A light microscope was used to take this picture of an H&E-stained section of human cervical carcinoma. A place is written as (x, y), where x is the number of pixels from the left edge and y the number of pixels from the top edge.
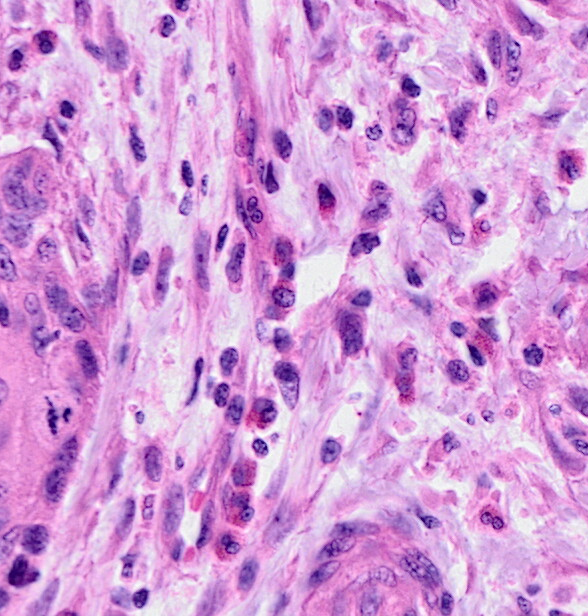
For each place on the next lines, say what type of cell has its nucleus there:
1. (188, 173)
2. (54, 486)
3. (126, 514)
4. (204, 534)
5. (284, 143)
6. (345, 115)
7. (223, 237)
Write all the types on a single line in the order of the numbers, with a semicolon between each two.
lymphocyte; squamous carcinoma cell; fibroblast; endothelial cell; lymphocyte; lymphocyte; lymphocyte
